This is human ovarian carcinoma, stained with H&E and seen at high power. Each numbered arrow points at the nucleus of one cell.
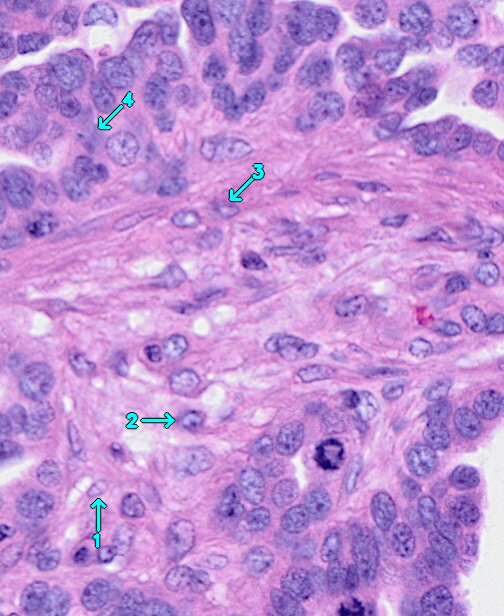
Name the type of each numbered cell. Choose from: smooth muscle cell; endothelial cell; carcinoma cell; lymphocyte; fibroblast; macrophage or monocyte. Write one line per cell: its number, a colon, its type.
1: fibroblast
2: fibroblast
3: fibroblast
4: carcinoma cell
